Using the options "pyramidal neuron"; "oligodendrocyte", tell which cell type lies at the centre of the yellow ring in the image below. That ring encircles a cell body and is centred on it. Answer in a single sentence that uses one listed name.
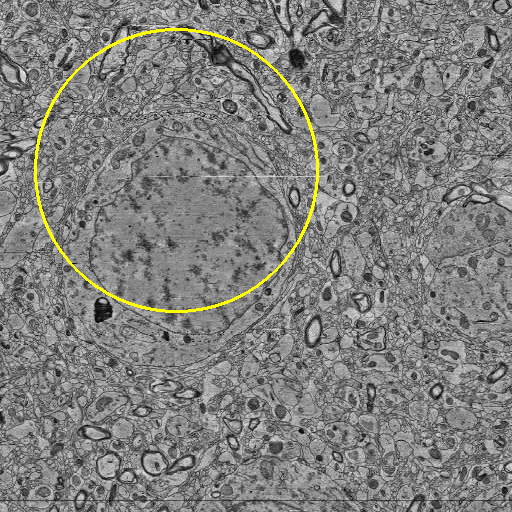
At the centre of the yellow ring lies the body of a pyramidal neuron.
